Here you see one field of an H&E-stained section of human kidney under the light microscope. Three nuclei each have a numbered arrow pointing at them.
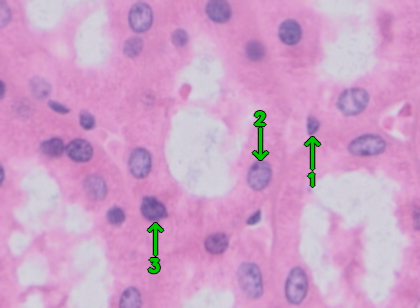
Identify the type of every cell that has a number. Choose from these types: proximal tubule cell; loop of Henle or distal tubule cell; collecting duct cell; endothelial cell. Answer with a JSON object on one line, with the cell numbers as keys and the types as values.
{"1": "endothelial cell", "2": "proximal tubule cell", "3": "proximal tubule cell"}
